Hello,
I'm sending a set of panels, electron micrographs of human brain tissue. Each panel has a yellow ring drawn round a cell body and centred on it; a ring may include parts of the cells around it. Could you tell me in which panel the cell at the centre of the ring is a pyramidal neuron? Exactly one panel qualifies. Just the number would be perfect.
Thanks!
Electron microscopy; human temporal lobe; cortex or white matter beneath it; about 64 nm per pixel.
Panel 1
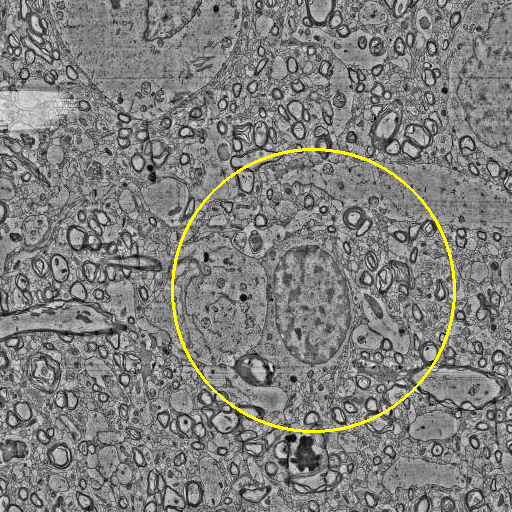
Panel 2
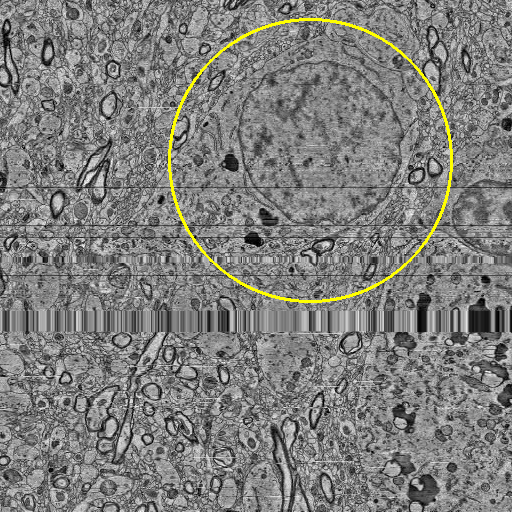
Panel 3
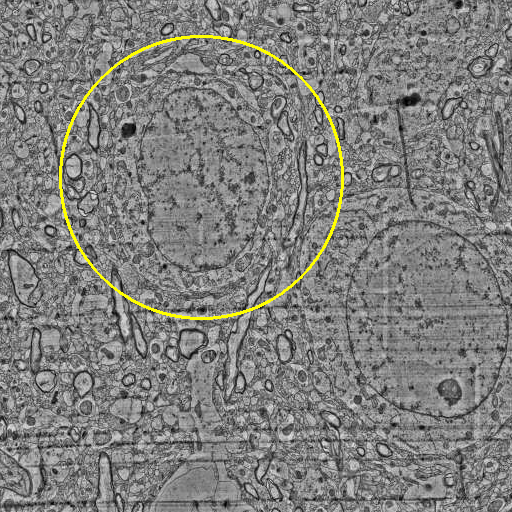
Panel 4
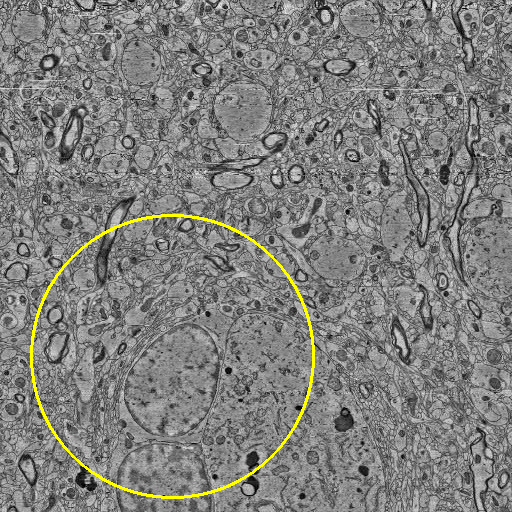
3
